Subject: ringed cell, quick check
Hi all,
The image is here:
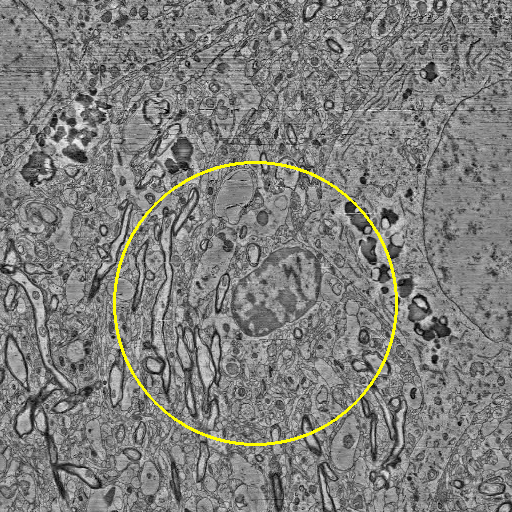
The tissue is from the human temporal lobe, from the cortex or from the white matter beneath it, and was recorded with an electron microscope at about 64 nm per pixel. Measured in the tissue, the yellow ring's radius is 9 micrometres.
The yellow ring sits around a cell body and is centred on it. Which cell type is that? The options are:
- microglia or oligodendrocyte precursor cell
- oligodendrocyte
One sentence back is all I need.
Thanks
That ringed cell is a microglial cell or oligodendrocyte precursor cell.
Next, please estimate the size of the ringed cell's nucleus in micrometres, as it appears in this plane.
The nucleus has a long axis of about 7 micrometres and a short axis of about 4 micrometres in this plane.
